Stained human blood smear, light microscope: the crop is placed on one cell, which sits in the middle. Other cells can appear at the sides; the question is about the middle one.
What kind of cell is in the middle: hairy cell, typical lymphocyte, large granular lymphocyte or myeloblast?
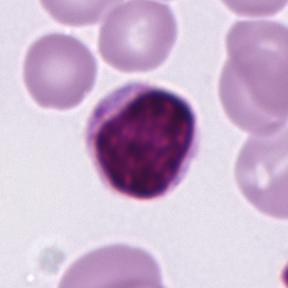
large granular lymphocyte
